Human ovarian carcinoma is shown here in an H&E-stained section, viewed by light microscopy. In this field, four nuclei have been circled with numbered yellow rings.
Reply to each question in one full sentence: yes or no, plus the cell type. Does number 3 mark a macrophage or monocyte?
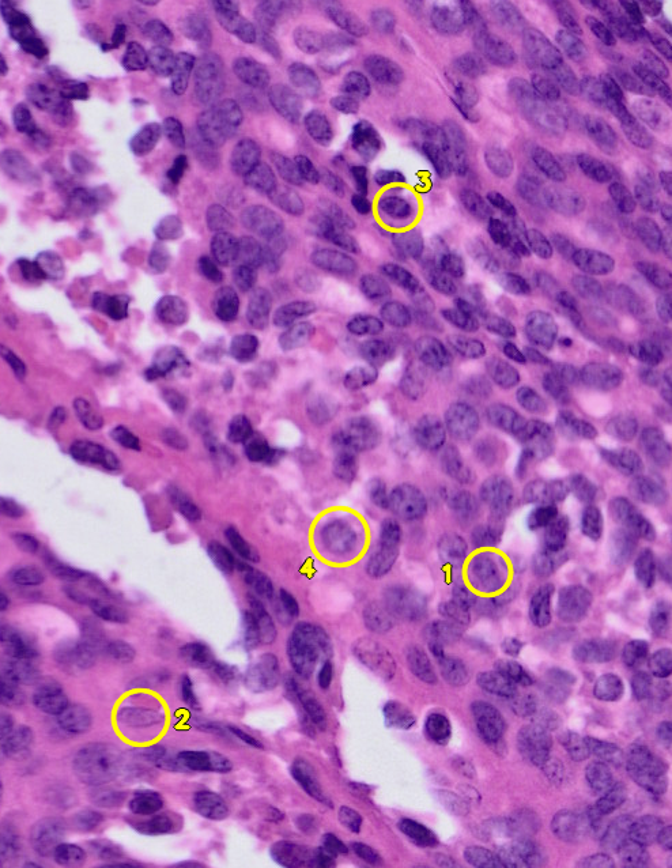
Yes, a macrophage or monocyte is what the cell numbered 3 is.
